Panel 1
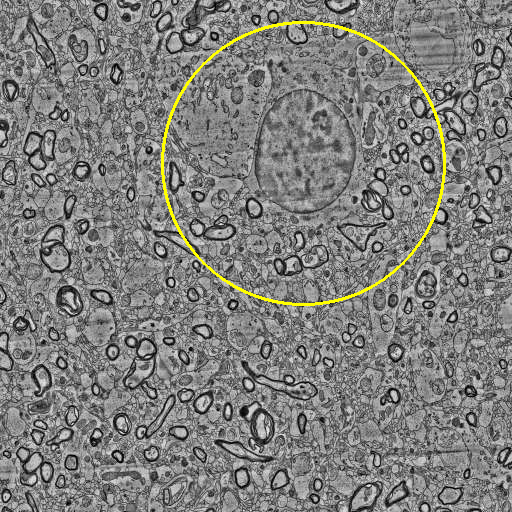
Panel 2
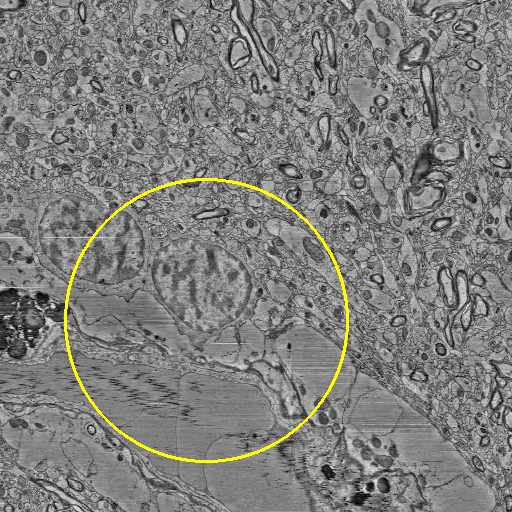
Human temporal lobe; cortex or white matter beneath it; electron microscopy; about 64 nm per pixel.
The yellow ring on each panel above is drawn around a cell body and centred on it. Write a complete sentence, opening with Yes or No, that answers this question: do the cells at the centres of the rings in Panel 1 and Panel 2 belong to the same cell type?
Yes, both cells belong to the same cell type.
